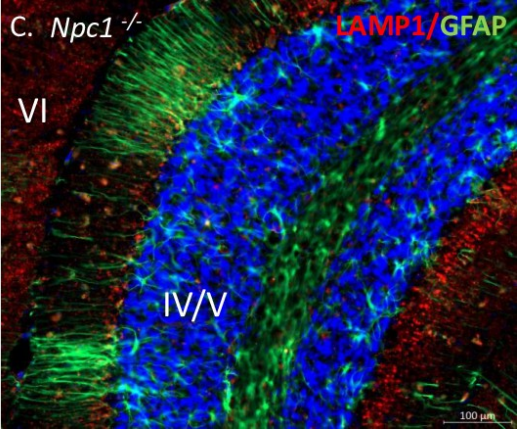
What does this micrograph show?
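This is cerebellar cortex with folded lobules: a broad granular layer of densely packed small blue nuclei, an outer molecular layer, and a central fiber-rich core. Long green fibers run in parallel, radially across the molecular layer toward the surface, arising from the border with the granular layer. Within the granular layer small star-shaped green cells with short radiating processes are scattered among the nuclei, and green fibrous signal fills the central core. Red punctate granules are spread through the molecular layer, especially in the outer folds, and around cells near the granular layer border.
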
